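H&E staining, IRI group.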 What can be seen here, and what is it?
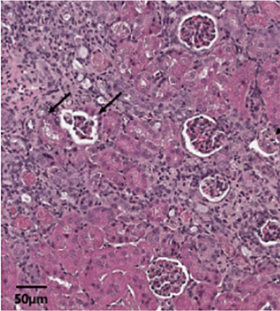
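This is renal cortex with a number of round glomeruli scattered among tubules. Many tubules still have plump pink cytoplasm, but a few near the glomeruli are dilated with thin walls and clear lumens, and bands of interstitium between them hold many small dark nuclei. The tubular injury here is patchy, with stretches of better preserved tubules beside damaged ones.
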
